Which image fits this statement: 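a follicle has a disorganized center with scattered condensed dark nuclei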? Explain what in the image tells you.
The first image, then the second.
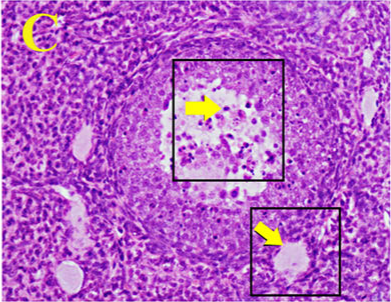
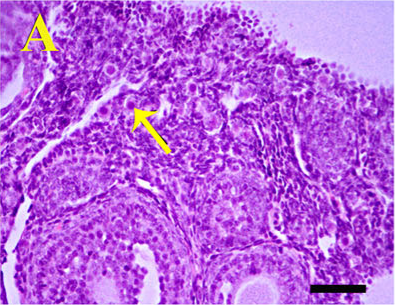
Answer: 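First image: a large follicle whose center is pale and loose, with scattered small dark nuclei. Second image: follicles show compact, orderly layers of granulosa cells around oocytes.
Hence: the first image.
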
